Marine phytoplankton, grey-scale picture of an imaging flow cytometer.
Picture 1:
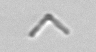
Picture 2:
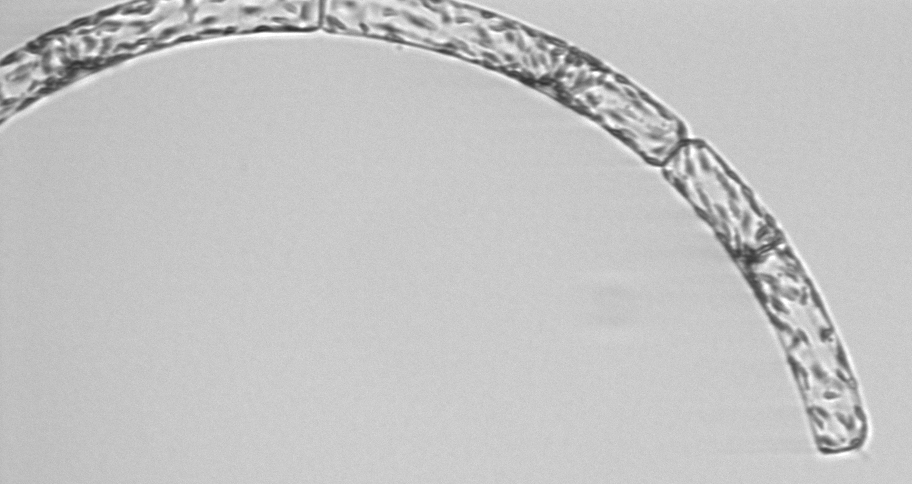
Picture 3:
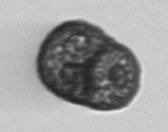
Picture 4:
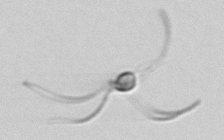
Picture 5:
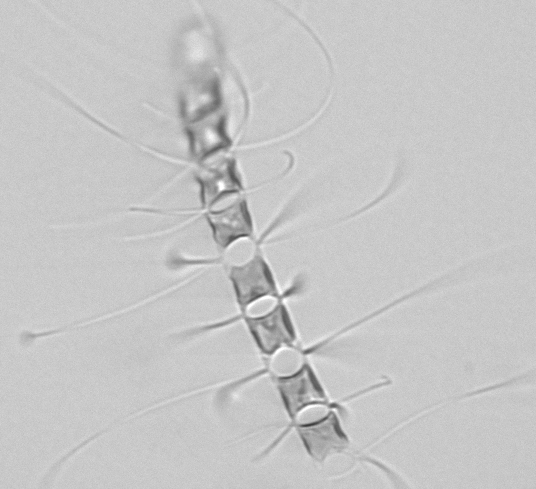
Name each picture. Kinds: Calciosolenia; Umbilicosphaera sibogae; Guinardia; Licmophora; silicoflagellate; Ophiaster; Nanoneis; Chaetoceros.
1. Nanoneis
2. Guinardia
3. Umbilicosphaera sibogae
4. Ophiaster
5. Chaetoceros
